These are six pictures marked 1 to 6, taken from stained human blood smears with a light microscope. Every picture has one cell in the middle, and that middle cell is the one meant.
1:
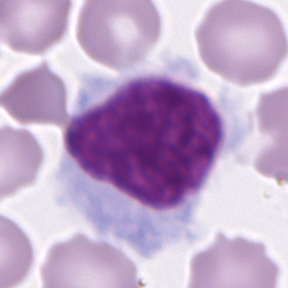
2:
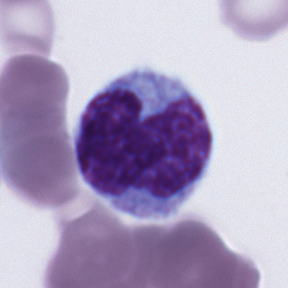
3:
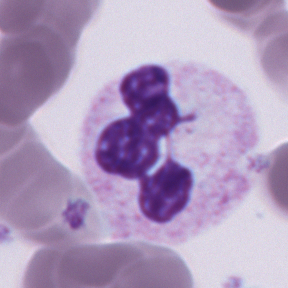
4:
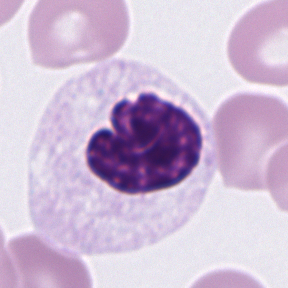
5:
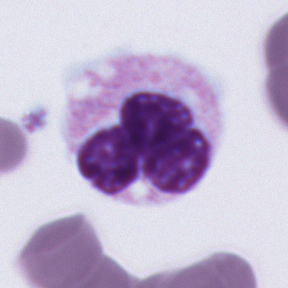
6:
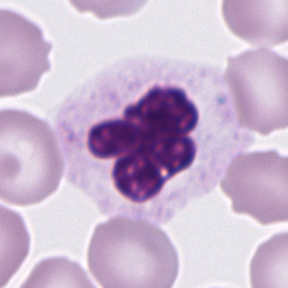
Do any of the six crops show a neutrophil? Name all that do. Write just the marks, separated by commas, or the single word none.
3, 4, 5, 6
